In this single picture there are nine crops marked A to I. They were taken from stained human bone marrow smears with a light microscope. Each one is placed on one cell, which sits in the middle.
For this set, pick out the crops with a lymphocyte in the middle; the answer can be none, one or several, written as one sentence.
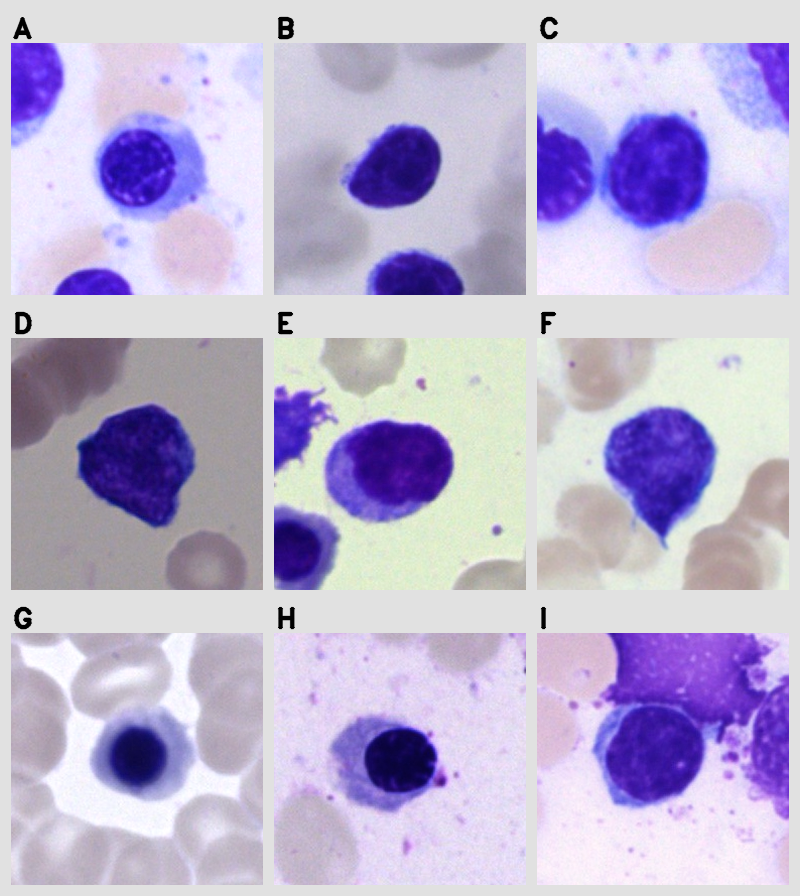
In crops B, C, E and I, the centrally located cells represent lymphocytes.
